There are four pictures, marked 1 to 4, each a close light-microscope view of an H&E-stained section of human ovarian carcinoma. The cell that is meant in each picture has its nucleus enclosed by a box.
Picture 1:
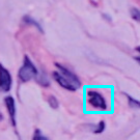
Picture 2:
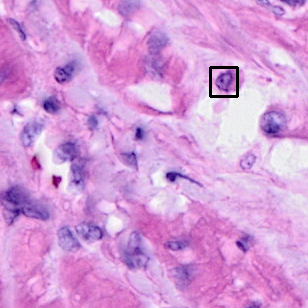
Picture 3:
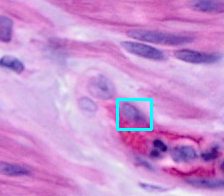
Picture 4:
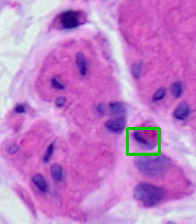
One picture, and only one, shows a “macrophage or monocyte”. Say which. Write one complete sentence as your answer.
The cell in picture 2 is the “macrophage or monocyte”.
